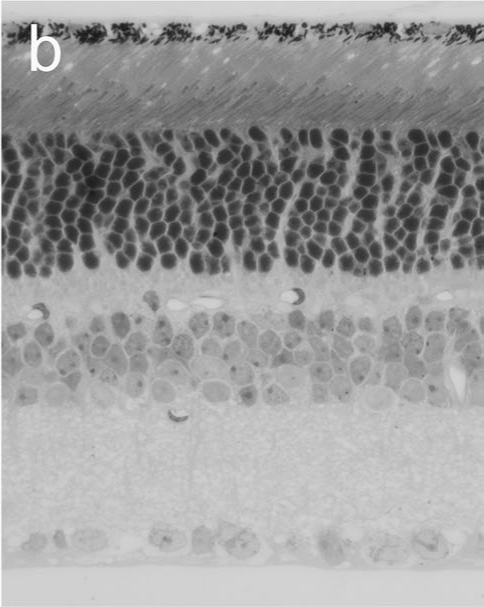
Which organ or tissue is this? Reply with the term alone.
retinal layers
